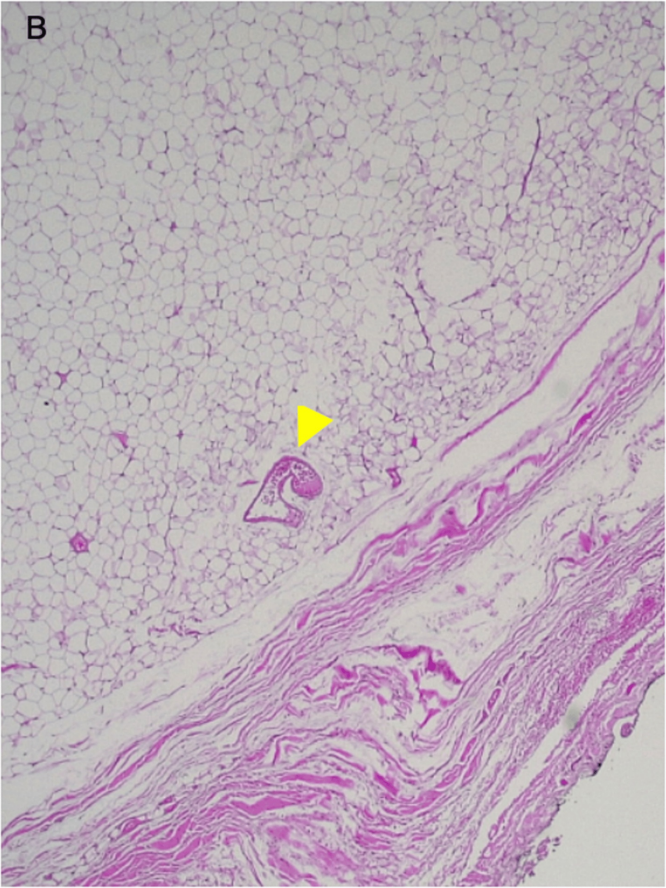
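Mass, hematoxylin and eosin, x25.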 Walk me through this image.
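At lower magnification this section shows fat tissue made of many small, empty-looking adipocytes, with a small vessel lying among them. The adipocytes are outlined by thin pale pink membranes and form a dense mesh. Along the lower right, wavy bands of pink fibrous tissue run diagonally across the field beside the fat.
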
